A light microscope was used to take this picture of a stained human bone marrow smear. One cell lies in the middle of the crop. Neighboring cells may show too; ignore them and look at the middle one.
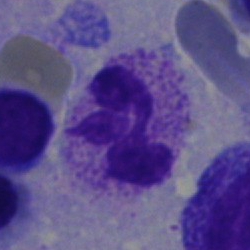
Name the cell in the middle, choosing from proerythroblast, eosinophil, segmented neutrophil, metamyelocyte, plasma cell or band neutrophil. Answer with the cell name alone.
segmented neutrophil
